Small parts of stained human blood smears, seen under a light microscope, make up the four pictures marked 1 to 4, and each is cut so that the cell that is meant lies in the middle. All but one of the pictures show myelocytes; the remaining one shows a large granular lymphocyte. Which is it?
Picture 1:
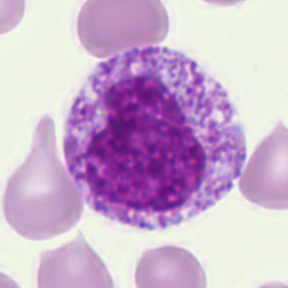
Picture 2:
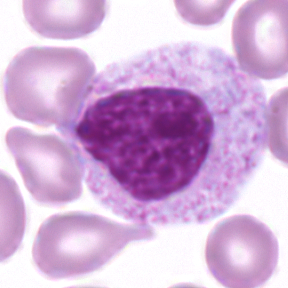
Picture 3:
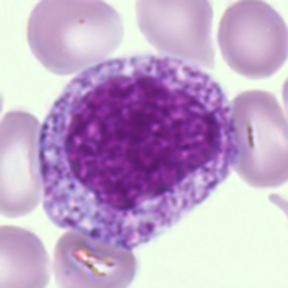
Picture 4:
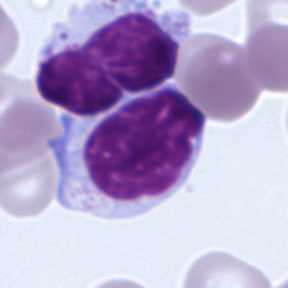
4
